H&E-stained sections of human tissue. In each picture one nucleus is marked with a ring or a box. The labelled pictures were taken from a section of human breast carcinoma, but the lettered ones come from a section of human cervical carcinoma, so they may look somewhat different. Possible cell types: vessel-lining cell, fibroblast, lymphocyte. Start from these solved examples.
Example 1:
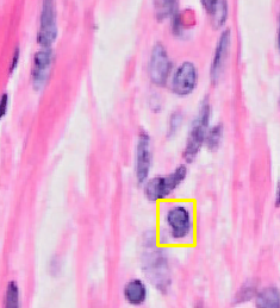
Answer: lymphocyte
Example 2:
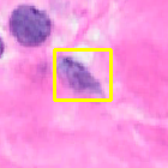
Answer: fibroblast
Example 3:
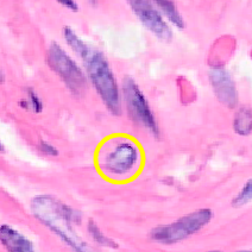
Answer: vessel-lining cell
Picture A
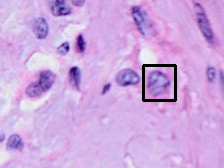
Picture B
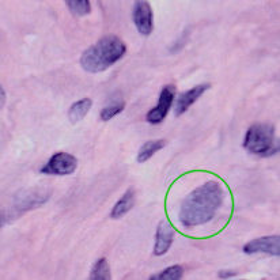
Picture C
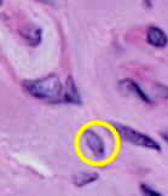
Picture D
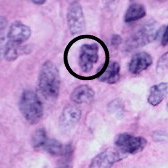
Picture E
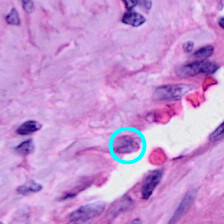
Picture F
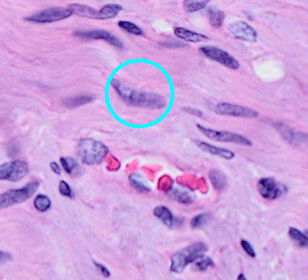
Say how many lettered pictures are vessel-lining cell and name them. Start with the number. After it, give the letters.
2, namely A, E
